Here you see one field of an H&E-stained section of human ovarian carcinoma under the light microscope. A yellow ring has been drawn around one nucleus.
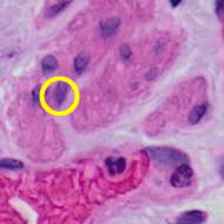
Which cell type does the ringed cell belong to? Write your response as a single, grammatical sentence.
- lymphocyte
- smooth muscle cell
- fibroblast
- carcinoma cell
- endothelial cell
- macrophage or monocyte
Just put down that the ringed cell is a smooth muscle cell.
